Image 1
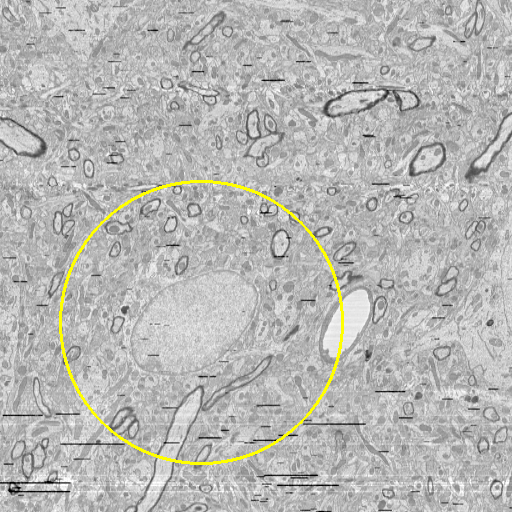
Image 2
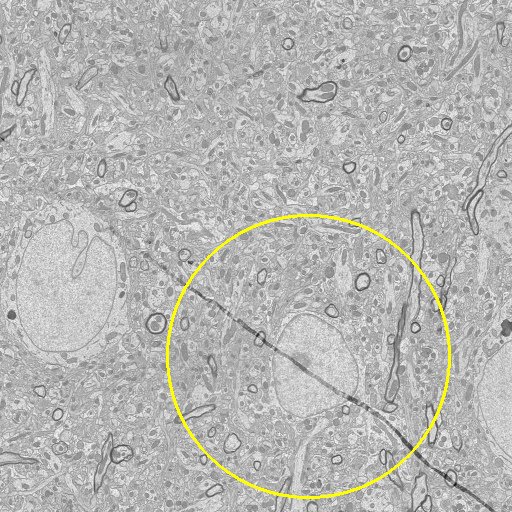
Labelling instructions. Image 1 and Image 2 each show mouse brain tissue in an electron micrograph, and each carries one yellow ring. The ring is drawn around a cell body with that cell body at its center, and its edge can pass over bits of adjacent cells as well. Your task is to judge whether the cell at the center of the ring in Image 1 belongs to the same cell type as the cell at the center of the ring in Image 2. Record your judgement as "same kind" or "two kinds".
same kind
